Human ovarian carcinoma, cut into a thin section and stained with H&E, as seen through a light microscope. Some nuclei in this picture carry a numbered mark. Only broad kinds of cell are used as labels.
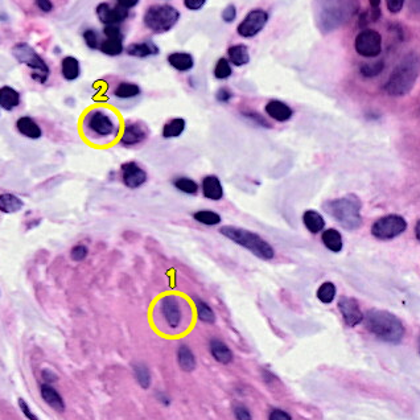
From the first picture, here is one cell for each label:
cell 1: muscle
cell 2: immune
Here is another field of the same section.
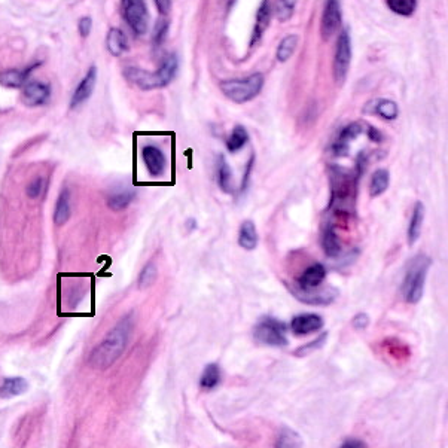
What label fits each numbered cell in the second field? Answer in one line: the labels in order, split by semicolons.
immune; muscle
